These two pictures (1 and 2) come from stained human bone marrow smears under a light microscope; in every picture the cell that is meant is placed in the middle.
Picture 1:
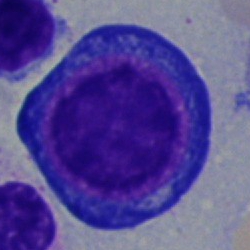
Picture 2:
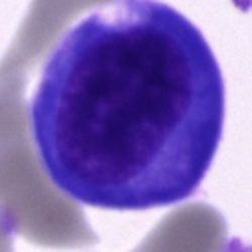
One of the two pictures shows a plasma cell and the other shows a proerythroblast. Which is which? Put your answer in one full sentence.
The cell in picture 1 is a proerythroblast, and the one in picture 2 is a plasma cell.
